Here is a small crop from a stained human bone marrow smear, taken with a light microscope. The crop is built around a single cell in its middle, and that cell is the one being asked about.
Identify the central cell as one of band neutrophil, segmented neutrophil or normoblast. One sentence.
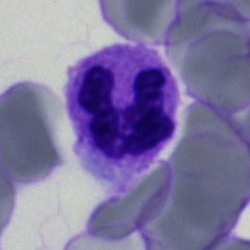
This crop is built around a segmented neutrophil at its centre.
